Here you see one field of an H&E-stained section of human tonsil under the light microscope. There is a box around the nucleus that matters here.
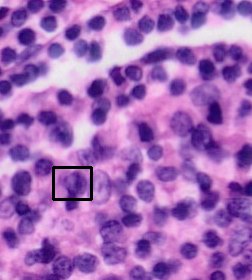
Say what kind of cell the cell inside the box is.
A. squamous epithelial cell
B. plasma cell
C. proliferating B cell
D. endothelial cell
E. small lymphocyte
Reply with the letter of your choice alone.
C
